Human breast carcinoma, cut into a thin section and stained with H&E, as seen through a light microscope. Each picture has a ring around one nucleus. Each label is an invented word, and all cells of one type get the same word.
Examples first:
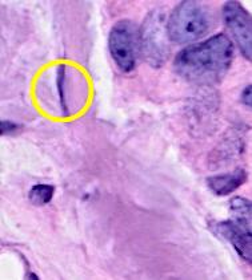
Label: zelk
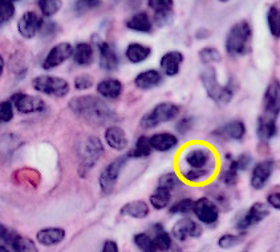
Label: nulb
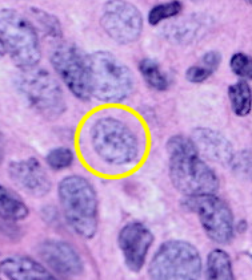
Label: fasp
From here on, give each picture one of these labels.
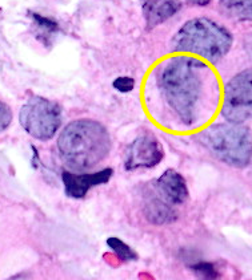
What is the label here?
fasp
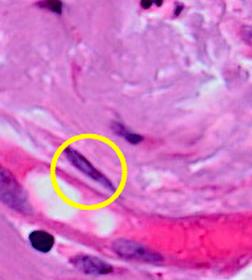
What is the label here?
zelk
